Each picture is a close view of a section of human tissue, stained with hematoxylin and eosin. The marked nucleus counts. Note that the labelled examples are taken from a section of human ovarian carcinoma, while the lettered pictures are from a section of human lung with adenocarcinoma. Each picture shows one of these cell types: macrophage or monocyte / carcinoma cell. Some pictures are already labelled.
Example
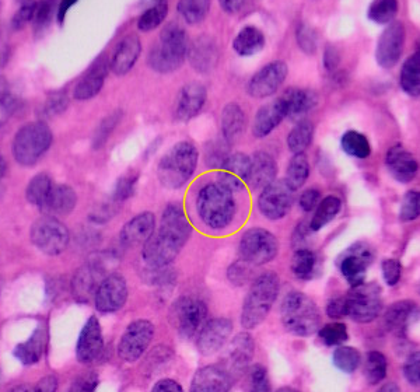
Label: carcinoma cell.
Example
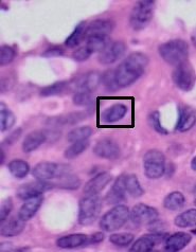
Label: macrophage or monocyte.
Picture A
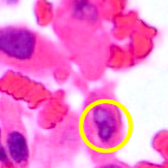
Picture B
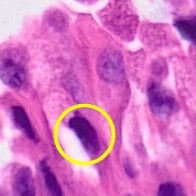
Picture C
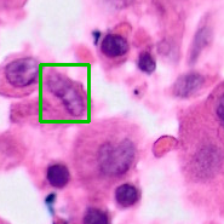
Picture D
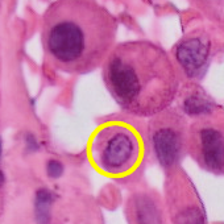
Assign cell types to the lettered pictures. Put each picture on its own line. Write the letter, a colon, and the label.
A: macrophage or monocyte.
B: carcinoma cell.
C: macrophage or monocyte.
D: macrophage or monocyte.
